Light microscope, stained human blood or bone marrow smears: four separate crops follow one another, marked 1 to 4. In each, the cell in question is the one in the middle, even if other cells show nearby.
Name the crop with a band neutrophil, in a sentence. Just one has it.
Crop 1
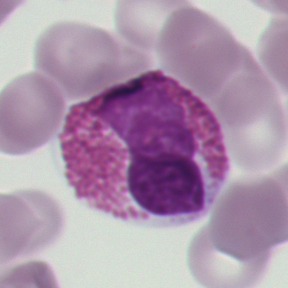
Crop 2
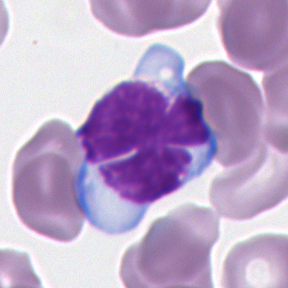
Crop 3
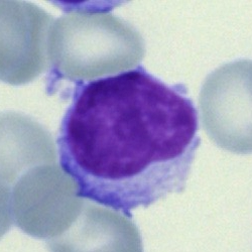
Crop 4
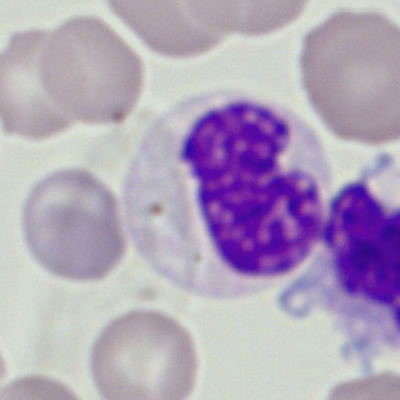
The crop showing a band neutrophil in this series is crop 4.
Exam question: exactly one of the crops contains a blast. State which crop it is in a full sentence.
Crop 2 shows a blast, and no other crop does.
